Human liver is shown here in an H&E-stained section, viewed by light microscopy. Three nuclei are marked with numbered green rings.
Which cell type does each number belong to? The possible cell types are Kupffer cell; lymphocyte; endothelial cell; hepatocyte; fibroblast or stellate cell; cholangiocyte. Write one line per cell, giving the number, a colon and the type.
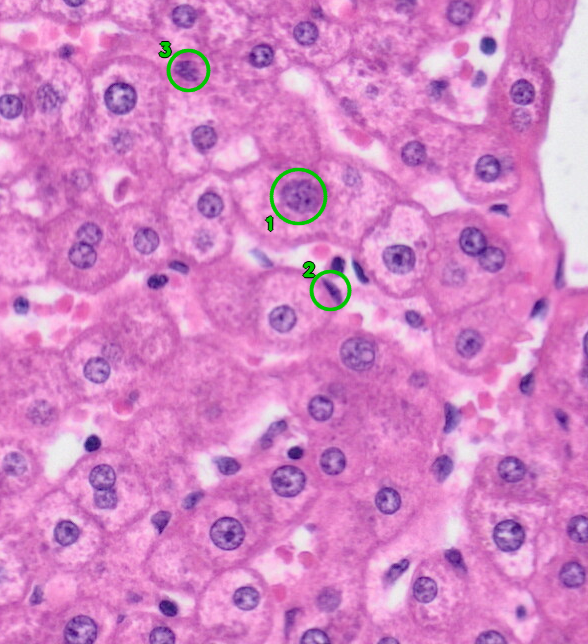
1: hepatocyte
2: fibroblast or stellate cell
3: fibroblast or stellate cell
